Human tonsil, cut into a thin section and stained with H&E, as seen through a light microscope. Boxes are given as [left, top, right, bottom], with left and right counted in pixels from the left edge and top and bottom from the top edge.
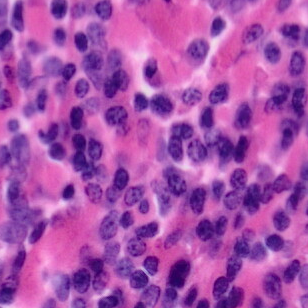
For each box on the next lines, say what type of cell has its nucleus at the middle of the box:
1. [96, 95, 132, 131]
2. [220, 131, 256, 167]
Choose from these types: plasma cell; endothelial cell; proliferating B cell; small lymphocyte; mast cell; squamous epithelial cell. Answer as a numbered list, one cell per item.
1. plasma cell
2. mast cell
